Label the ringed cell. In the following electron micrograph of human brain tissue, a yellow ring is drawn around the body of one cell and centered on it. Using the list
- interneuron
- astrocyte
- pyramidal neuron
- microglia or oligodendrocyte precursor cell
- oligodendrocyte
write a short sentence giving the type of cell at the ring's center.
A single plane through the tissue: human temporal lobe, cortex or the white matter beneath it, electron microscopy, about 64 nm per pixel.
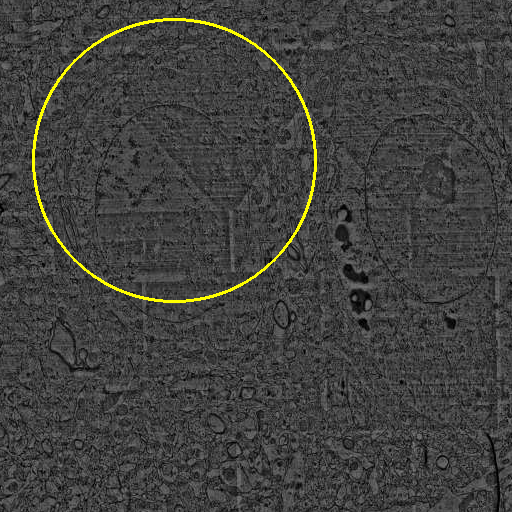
The cell body at the ring's center is that of a pyramidal neuron.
